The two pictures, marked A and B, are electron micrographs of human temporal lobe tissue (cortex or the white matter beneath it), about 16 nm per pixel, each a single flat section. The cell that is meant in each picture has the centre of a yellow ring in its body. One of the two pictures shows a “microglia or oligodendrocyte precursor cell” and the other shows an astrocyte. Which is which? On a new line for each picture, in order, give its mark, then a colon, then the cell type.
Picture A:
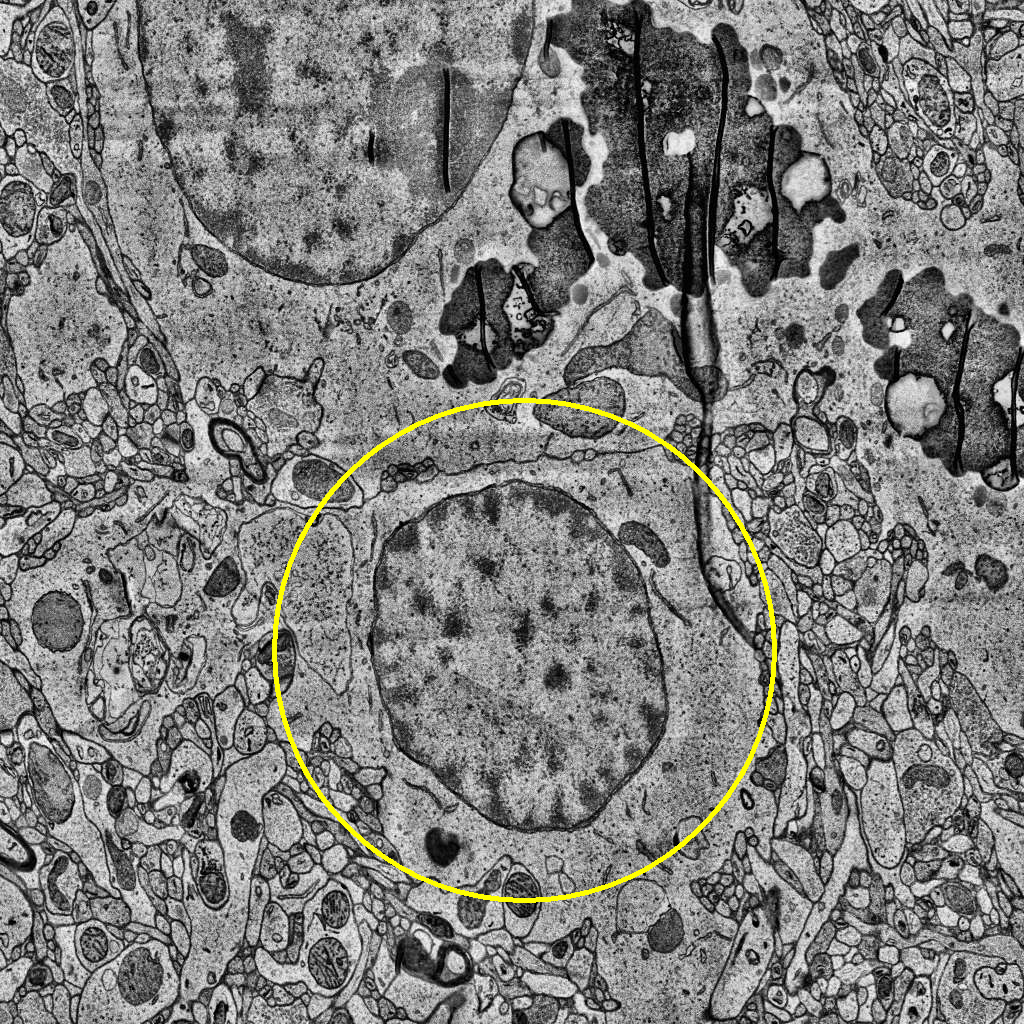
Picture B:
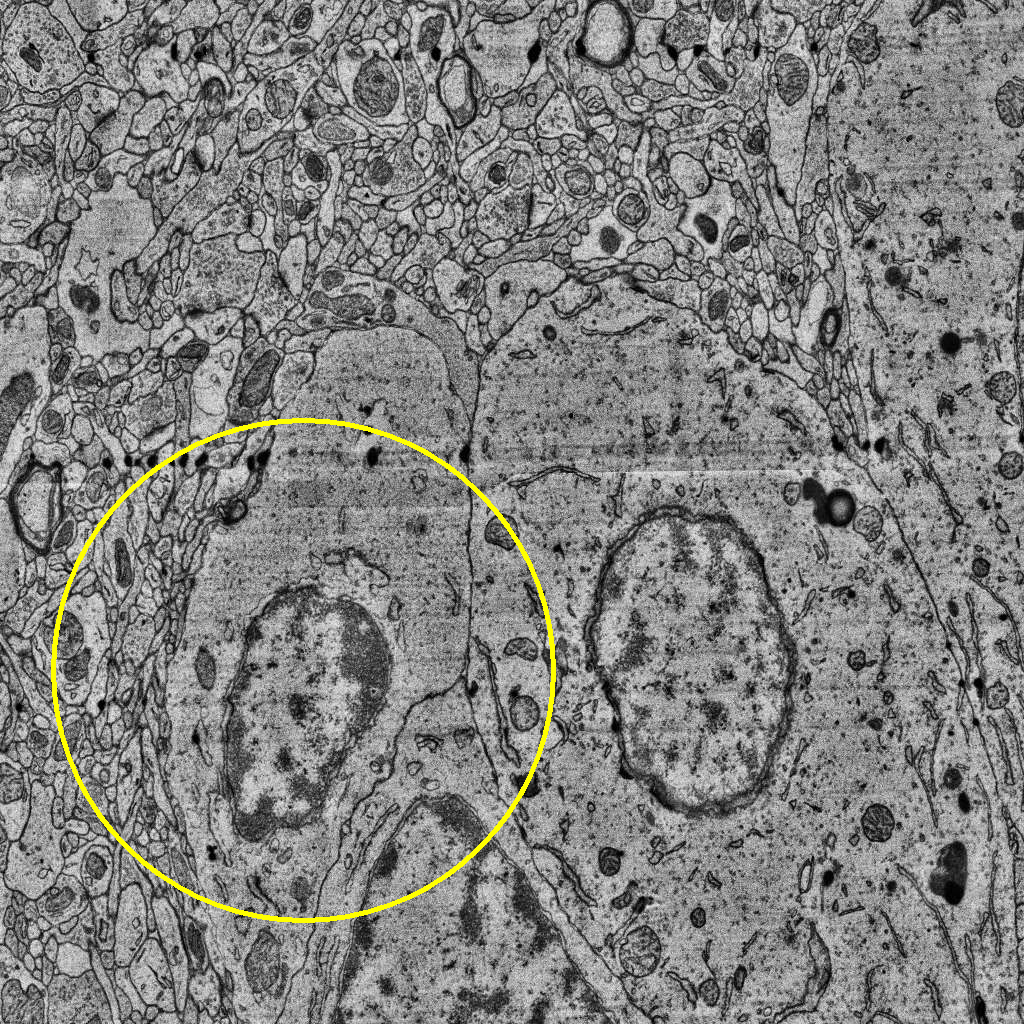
A: astrocyte
B: microglia or oligodendrocyte precursor cell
